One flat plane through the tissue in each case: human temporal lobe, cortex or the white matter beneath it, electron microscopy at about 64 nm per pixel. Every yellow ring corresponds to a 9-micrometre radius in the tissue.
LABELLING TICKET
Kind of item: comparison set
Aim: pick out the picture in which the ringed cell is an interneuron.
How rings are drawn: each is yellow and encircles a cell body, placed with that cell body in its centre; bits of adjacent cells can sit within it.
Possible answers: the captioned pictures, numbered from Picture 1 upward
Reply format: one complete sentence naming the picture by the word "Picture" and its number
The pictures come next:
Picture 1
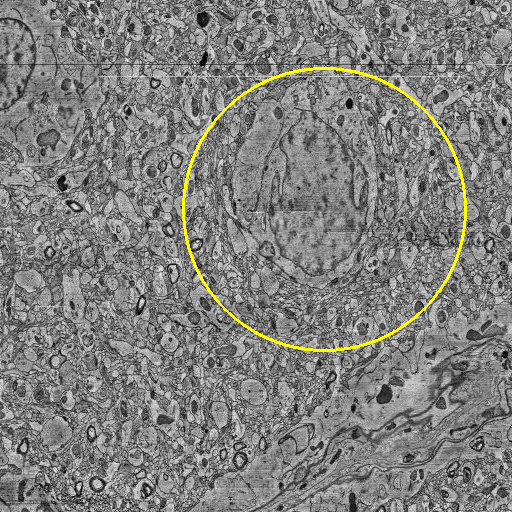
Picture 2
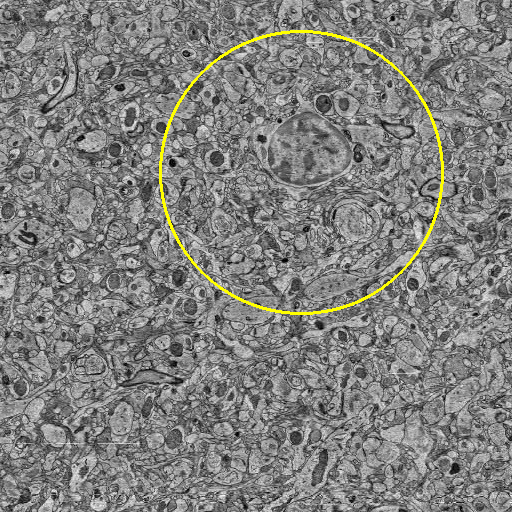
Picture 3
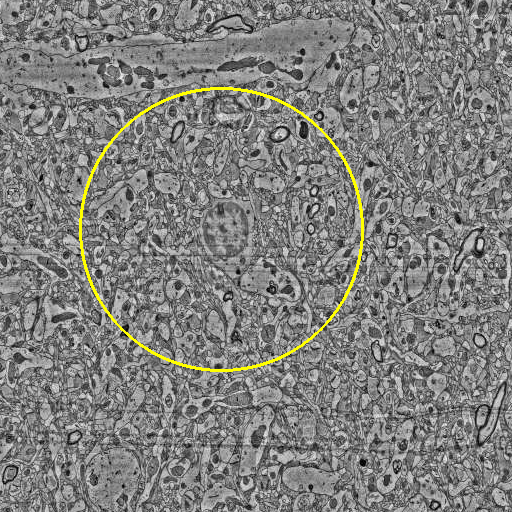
The cell centred inside the yellow ring in Picture 1 is the requested one.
